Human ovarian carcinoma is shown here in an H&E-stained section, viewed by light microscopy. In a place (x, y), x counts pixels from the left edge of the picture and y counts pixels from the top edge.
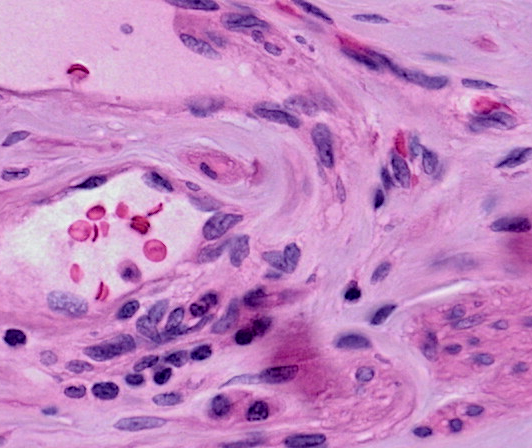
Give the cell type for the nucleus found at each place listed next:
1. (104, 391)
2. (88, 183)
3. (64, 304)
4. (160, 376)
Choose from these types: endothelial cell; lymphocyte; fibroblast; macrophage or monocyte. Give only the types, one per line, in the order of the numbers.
lymphocyte
endothelial cell
endothelial cell
lymphocyte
